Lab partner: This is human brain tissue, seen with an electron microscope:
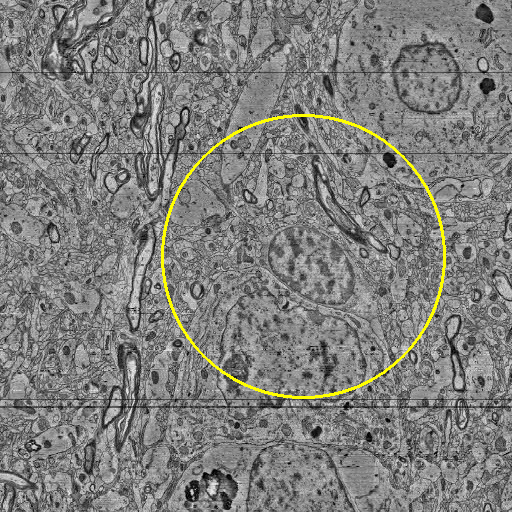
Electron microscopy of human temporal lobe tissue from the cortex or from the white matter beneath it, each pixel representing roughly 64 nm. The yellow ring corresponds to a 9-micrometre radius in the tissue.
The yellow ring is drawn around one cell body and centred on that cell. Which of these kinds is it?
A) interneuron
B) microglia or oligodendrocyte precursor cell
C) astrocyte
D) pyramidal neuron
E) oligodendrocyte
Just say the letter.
E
